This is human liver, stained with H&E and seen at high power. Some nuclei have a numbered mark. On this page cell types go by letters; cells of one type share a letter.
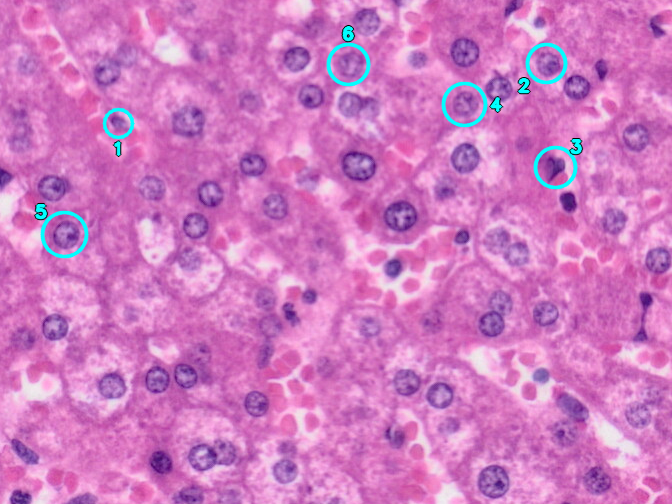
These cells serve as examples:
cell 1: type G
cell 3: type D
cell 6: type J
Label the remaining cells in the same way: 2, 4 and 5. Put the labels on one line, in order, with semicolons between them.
type J; type J; type J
